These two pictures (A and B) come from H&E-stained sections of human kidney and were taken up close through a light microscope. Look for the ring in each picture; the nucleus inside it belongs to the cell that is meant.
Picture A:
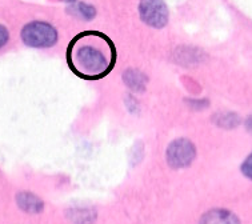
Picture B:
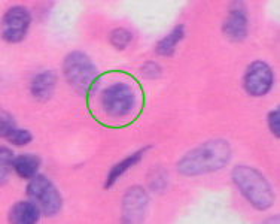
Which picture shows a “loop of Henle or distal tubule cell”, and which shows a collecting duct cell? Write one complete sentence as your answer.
Picture A shows a “loop of Henle or distal tubule cell” and picture B shows a collecting duct cell.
